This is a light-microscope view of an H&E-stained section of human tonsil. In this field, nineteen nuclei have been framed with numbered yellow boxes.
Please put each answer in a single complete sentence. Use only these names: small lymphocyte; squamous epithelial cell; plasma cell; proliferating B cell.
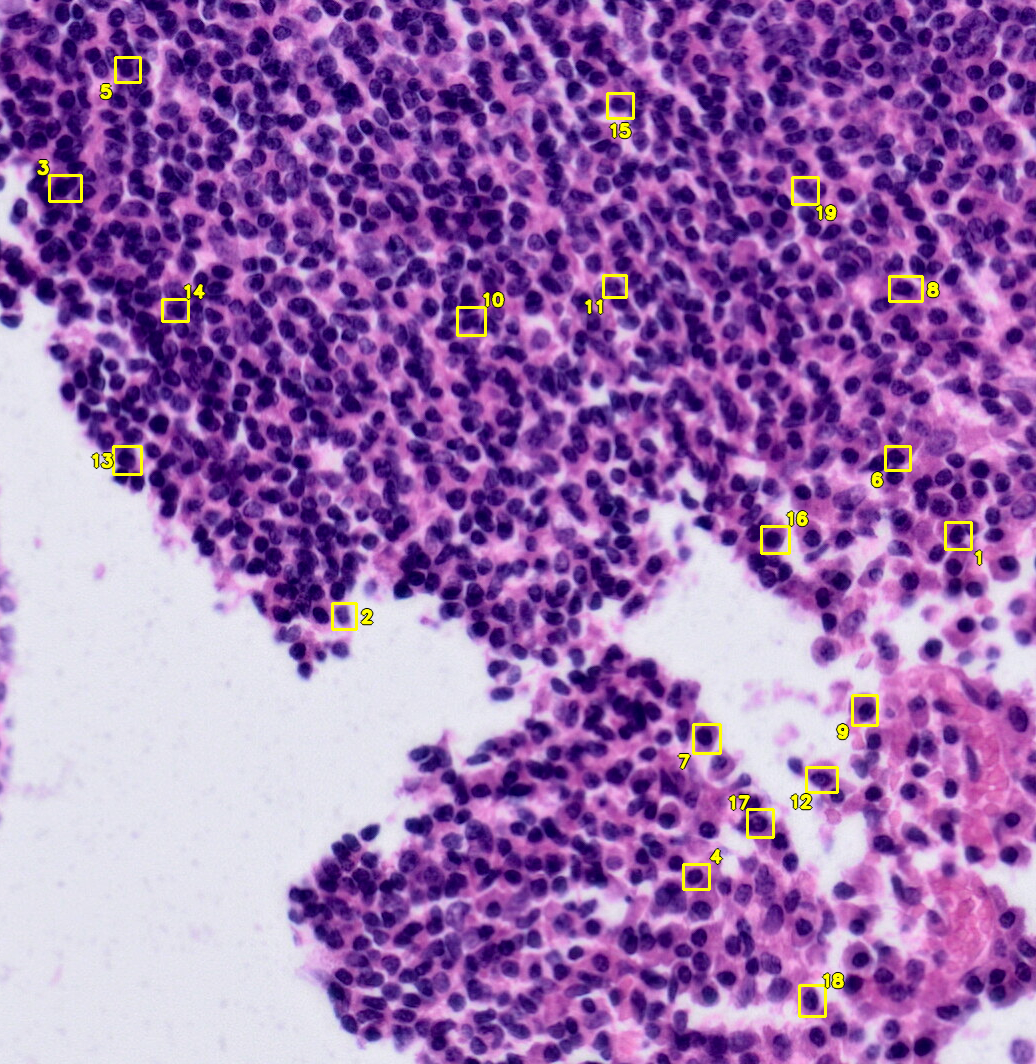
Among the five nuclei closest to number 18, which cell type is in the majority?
Around number 18, most of the five nearest nuclei are those of plasma cells.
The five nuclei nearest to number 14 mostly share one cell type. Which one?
Of the five nuclei nearest to number 14, most belong to small lymphocytes.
